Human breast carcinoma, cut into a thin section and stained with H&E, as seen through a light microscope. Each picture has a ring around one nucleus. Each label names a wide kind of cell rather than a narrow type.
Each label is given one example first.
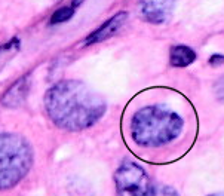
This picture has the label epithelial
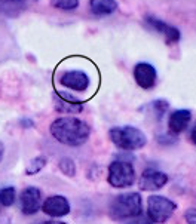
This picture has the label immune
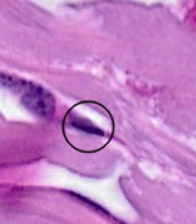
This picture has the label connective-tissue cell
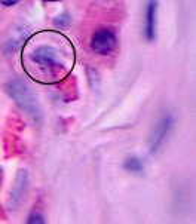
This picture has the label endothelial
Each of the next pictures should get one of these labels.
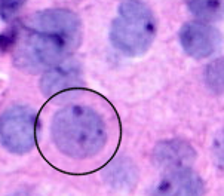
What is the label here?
epithelial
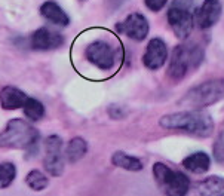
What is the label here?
immune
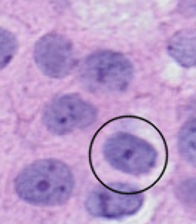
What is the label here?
epithelial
